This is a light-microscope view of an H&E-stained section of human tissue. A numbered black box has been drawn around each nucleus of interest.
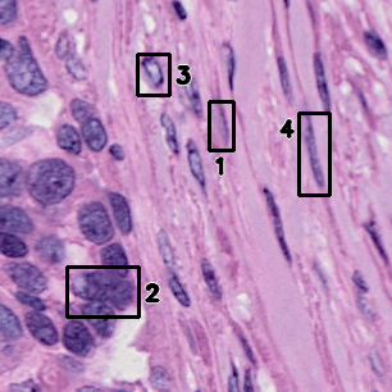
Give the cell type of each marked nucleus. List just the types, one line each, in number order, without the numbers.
fibroblast
carcinoma cell
fibroblast
fibroblast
